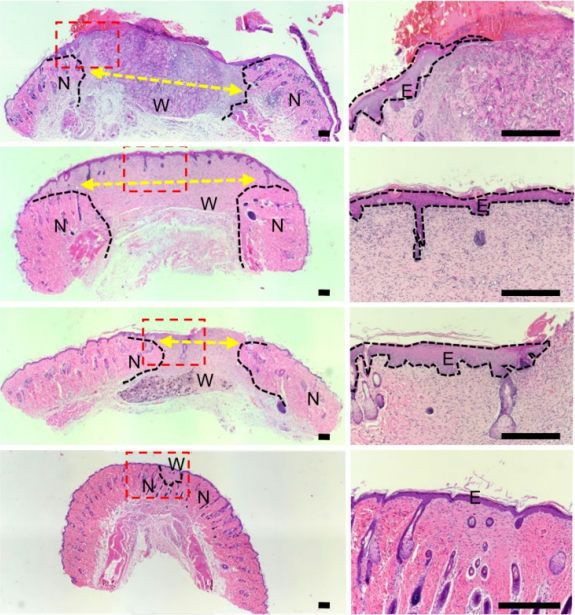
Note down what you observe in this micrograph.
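A thin, darker purple epidermis covers the surface, over a pink dermis. Toward the edges of each section the dermis holds hair follicles and glands. In the central wound region these appendages are few or absent, and the tissue looks more uniform and loosely arranged. In some sections a dark red crust lies on the surface over the wound.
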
